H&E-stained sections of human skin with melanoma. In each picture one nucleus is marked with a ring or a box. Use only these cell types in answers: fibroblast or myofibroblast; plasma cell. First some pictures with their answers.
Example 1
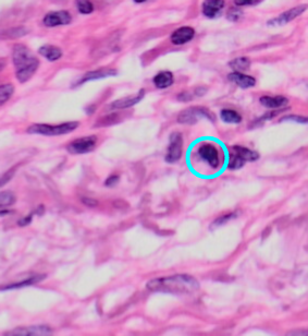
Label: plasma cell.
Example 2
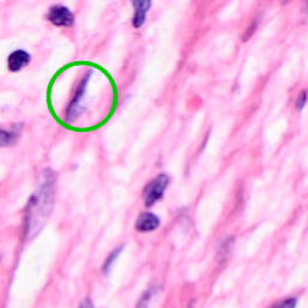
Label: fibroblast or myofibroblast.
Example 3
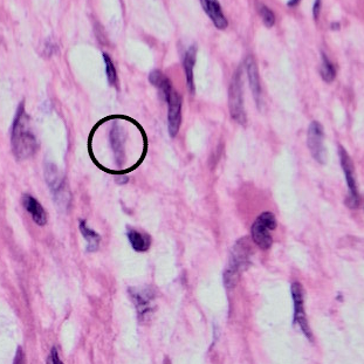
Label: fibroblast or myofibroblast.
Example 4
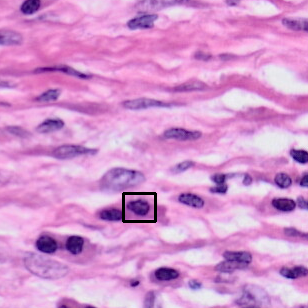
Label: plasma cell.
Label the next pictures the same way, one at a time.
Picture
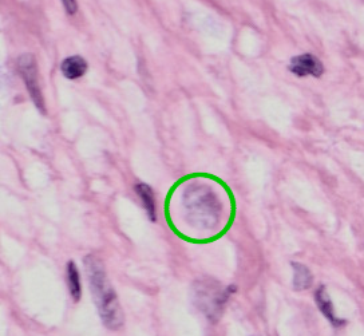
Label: fibroblast or myofibroblast.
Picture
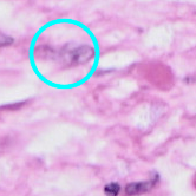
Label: fibroblast or myofibroblast.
